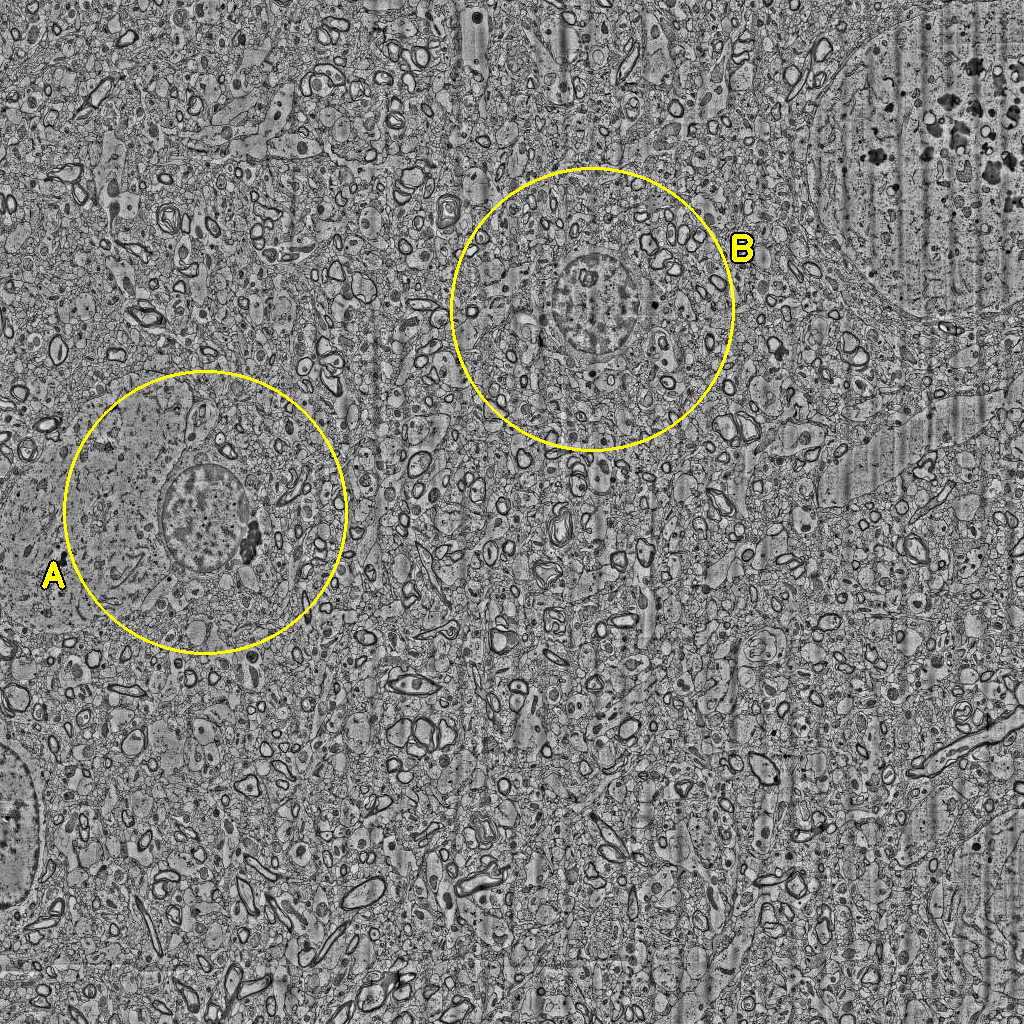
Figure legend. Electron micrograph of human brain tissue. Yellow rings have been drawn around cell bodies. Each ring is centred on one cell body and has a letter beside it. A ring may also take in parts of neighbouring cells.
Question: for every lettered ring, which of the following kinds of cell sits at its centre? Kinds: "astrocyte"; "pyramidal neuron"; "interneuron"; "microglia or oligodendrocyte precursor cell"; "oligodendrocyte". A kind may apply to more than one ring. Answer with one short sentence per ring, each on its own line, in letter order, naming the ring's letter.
Ring A is centred on an oligodendrocyte.
Ring B is centred on an oligodendrocyte.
